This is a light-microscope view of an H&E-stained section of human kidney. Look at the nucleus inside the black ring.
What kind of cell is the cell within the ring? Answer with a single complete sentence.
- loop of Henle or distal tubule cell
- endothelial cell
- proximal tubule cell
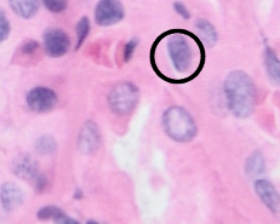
Typologically, the cell within the ring is an endothelial cell in this section.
